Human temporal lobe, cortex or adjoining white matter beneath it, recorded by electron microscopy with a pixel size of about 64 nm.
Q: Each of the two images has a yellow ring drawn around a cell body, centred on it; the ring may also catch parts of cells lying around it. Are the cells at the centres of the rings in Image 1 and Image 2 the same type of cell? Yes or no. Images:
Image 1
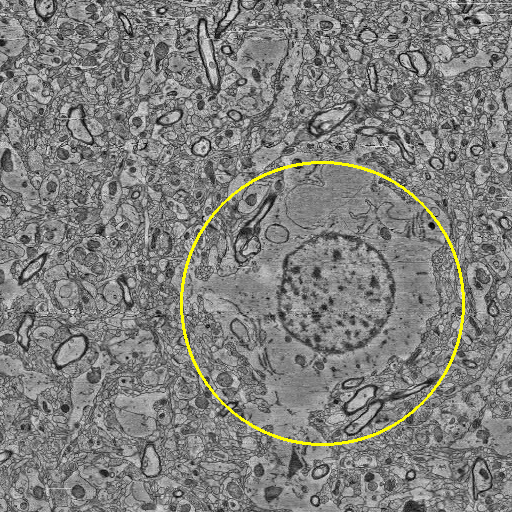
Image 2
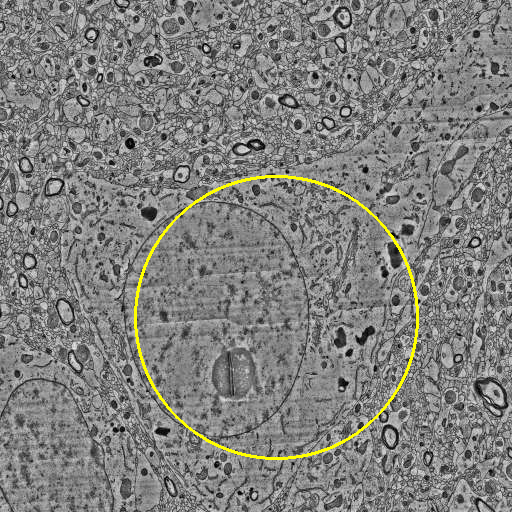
no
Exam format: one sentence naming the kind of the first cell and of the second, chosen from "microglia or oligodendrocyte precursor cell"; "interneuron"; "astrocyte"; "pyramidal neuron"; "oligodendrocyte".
The first picture's cell is an astrocyte, and the second picture's cell is a pyramidal neuron.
